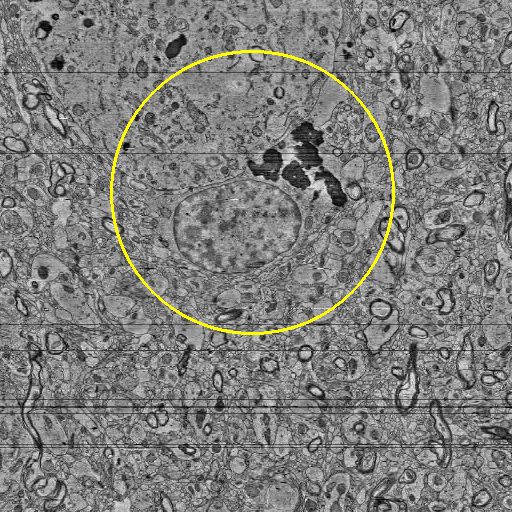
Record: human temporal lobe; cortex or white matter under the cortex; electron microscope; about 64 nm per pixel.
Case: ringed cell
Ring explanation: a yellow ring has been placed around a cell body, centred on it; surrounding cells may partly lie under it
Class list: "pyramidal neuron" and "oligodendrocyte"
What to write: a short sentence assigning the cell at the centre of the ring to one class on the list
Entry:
The cell at the ring's centre is an oligodendrocyte.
